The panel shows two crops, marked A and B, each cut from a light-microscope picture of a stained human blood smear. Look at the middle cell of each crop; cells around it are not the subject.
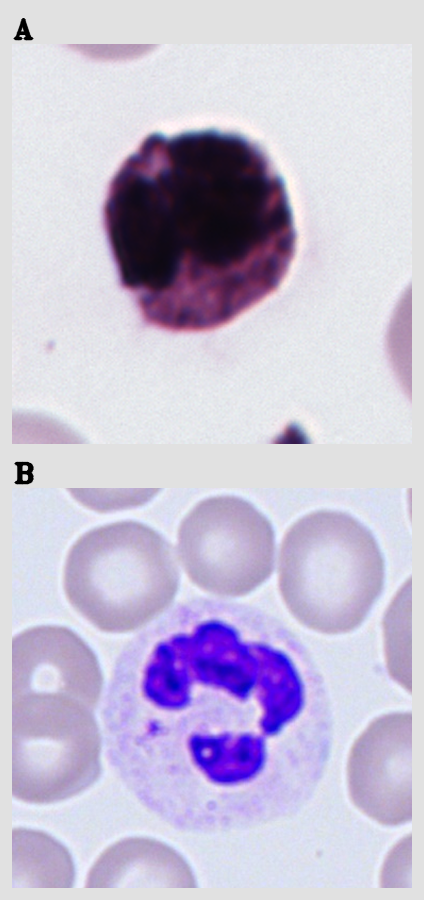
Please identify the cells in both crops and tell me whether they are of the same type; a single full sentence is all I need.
No, the middle of crop A shows a basophil, and the middle of crop B shows a neutrophil.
